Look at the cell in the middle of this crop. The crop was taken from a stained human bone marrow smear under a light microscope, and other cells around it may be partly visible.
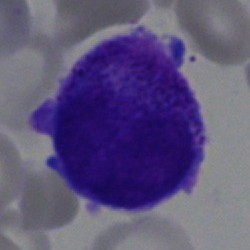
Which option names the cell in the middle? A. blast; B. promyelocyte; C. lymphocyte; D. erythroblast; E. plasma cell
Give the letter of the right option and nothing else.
A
